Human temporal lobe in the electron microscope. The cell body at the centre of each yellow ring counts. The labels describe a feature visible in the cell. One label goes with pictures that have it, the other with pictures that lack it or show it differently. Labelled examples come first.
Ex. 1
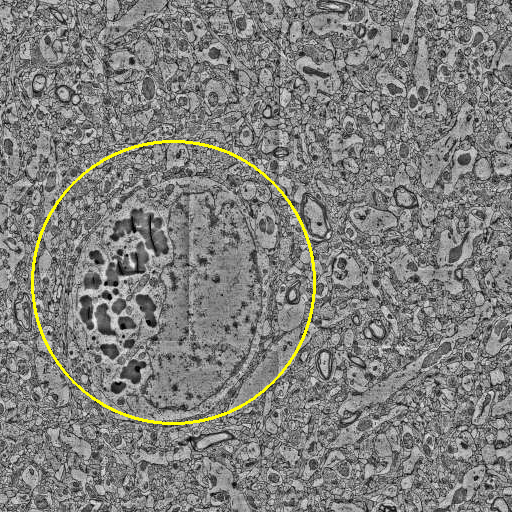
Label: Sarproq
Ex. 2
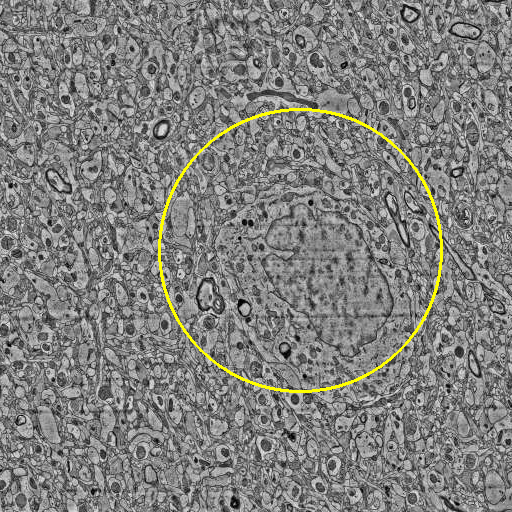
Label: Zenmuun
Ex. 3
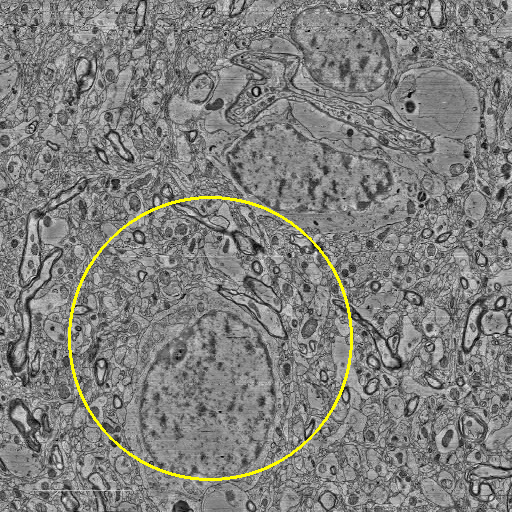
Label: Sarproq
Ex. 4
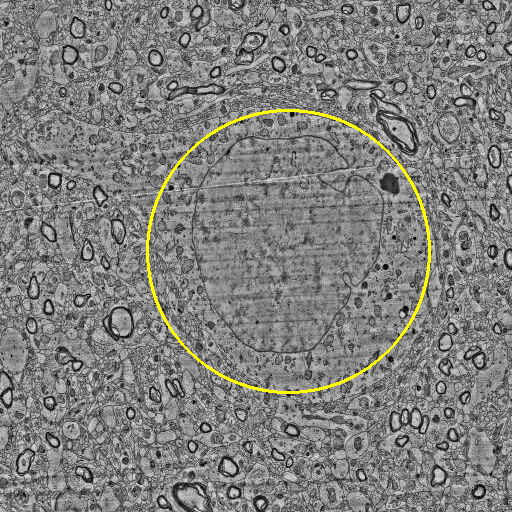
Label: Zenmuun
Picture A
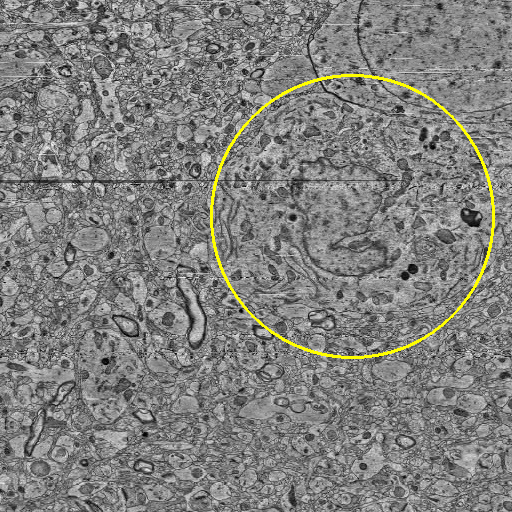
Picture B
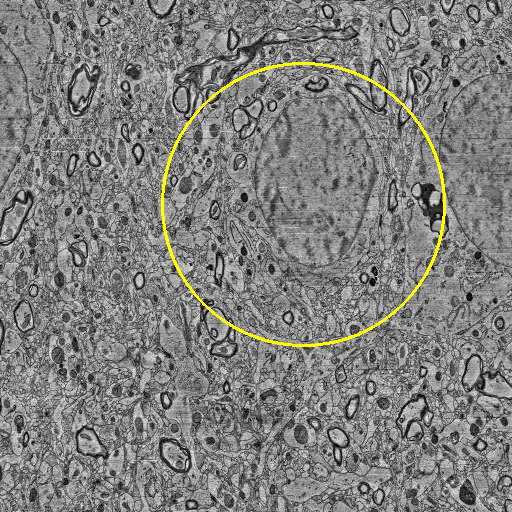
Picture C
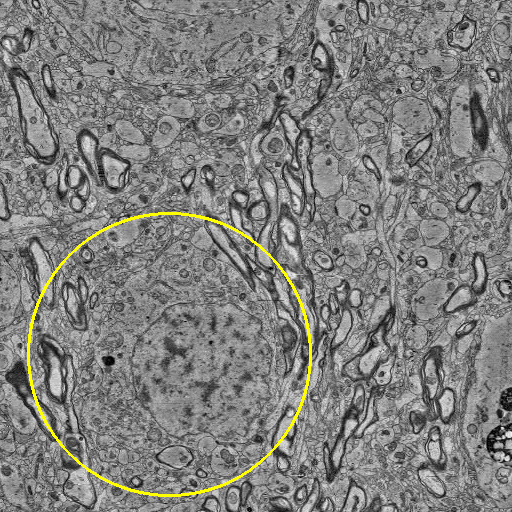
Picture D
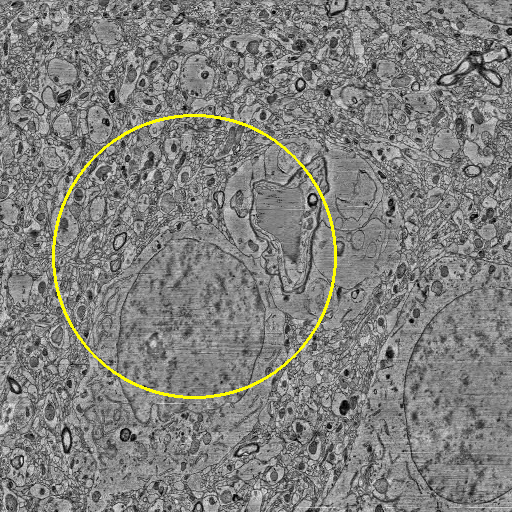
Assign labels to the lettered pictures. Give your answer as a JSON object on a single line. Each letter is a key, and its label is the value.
{"A": "Zenmuun", "B": "Sarproq", "C": "Sarproq", "D": "Sarproq"}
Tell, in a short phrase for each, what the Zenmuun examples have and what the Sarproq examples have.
Zenmuun: deeply folded or indented nuclear envelopes; Sarproq: smooth nuclear envelopes without deep folds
